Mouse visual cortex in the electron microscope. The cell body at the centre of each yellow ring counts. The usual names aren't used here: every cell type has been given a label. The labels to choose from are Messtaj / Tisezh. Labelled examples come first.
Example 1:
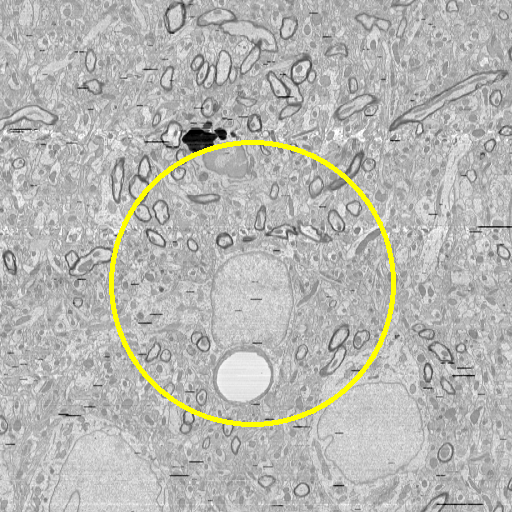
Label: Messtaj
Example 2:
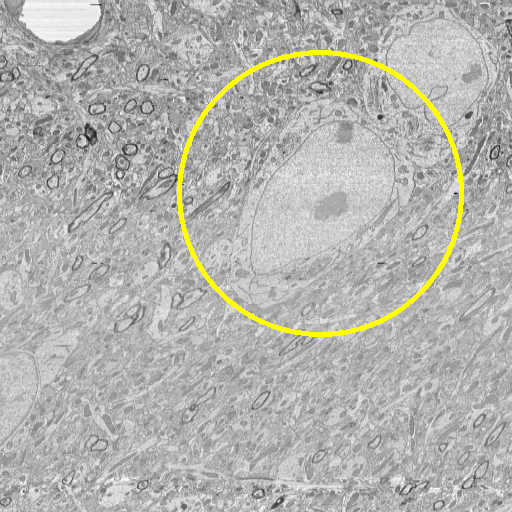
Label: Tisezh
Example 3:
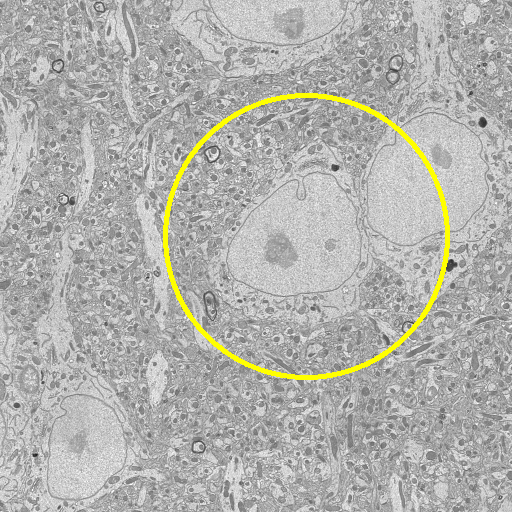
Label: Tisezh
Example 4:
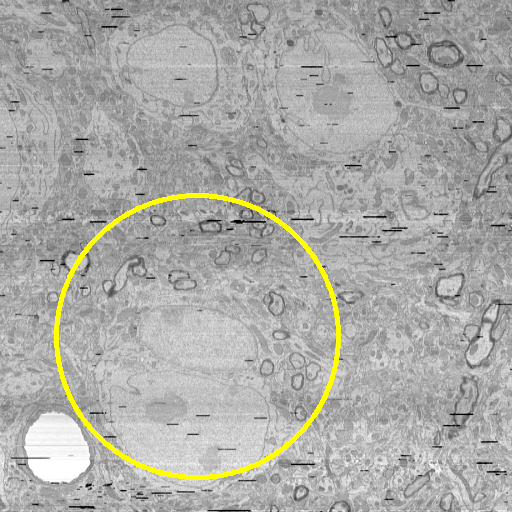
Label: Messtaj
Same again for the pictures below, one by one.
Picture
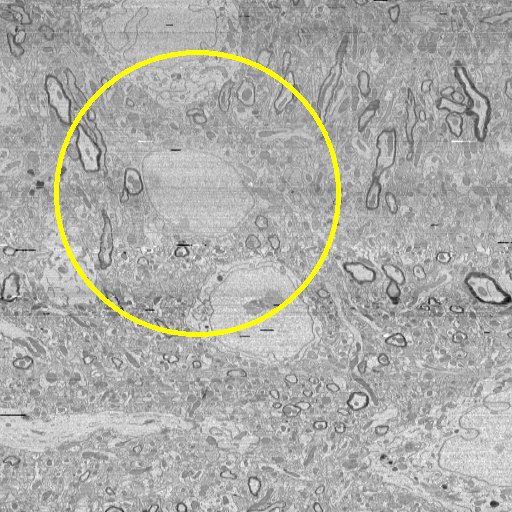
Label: Messtaj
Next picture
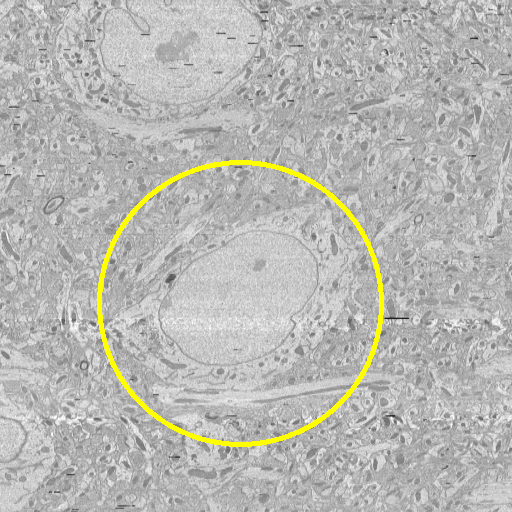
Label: Tisezh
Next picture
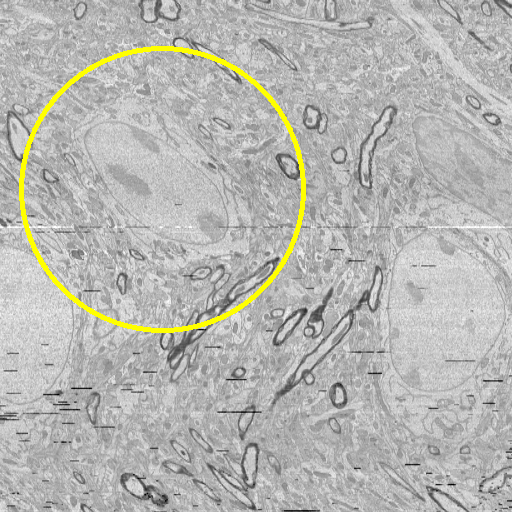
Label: Tisezh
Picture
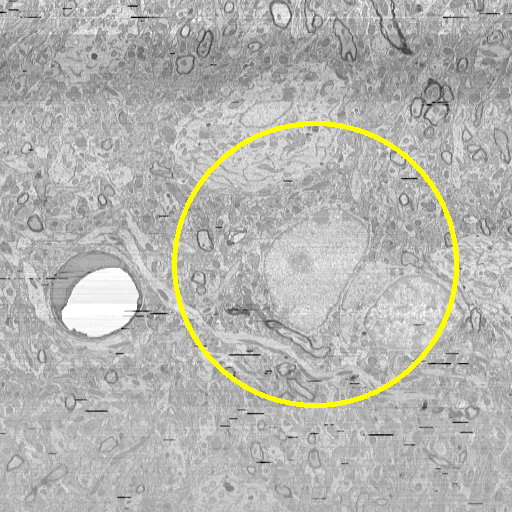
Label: Messtaj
